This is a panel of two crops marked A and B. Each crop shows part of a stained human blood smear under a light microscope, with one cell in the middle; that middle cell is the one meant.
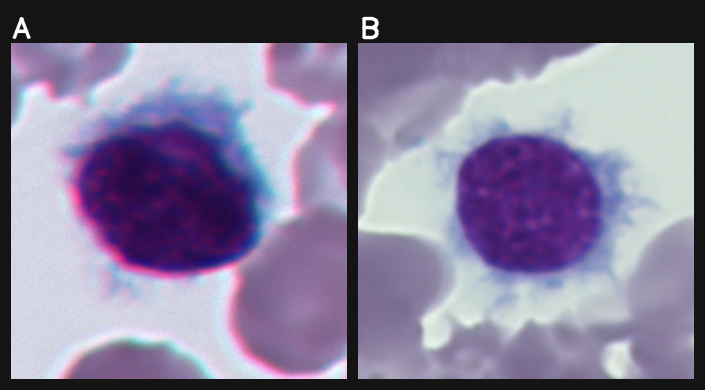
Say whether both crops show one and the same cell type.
yes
